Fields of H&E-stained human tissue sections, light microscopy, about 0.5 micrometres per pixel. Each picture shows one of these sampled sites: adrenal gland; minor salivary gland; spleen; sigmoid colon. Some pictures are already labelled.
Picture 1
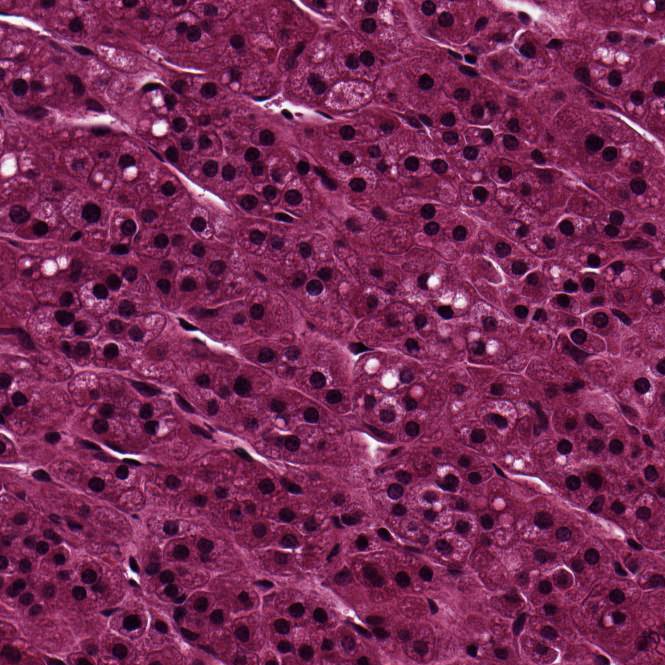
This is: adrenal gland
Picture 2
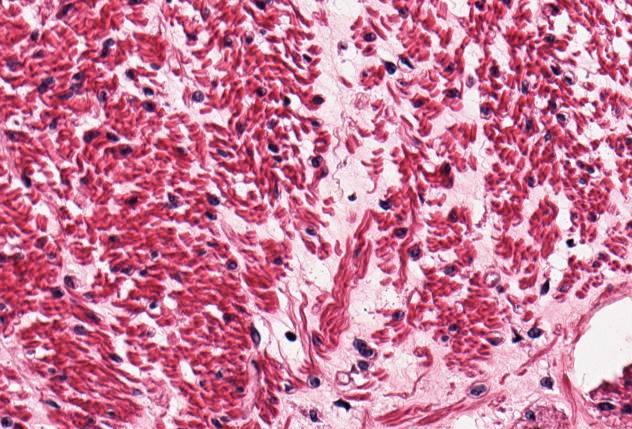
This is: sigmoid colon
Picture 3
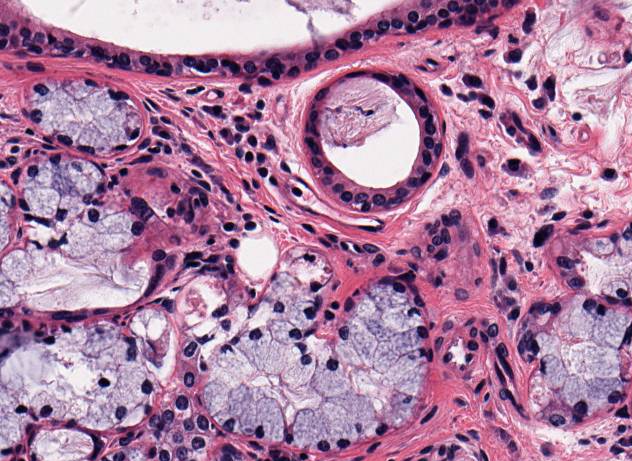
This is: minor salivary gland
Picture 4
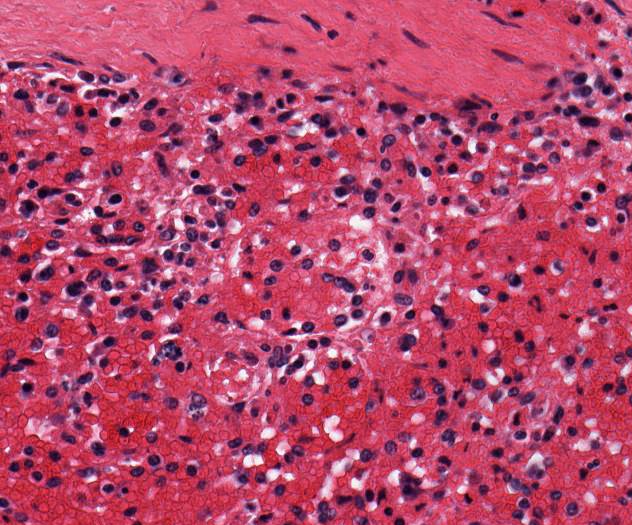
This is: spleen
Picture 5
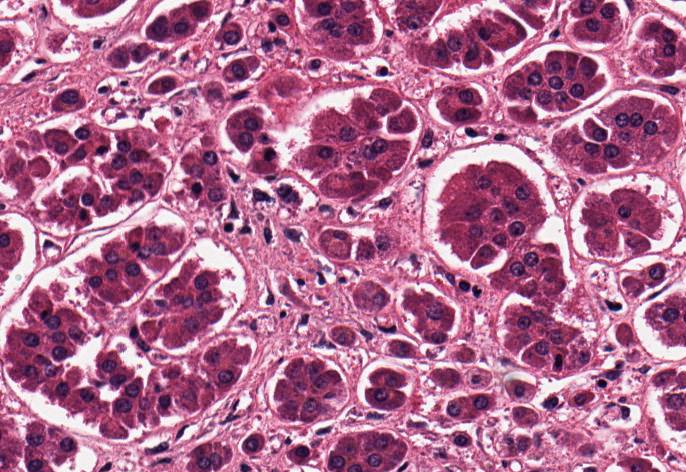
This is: adrenal gland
